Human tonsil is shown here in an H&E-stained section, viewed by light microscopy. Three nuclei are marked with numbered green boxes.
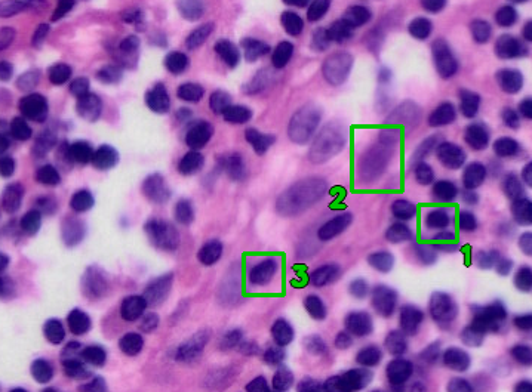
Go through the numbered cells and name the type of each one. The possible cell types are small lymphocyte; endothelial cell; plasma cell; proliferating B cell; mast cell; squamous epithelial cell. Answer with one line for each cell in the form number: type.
1: small lymphocyte
2: endothelial cell
3: endothelial cell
